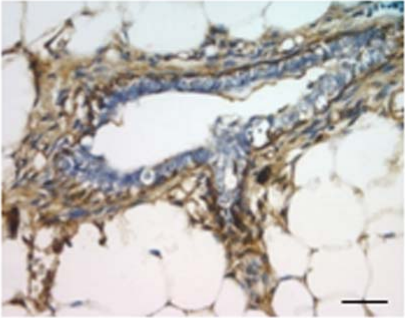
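A mammary duct sits within fatty tissue, its lumen lined by a layer of cells with blue nuclei, some of which bulge or pile into the lumen on one side. Around the duct the surrounding tissue is thickened and crowded with brown-stained, spindle-shaped cells arranged in a broad, irregular cuff rather than a thin layer, and streaks of brown-stained cells extend outward between the large, clear fat cells. Many blue nuclei are scattered through this brown cuff. Overall the stroma around this duct is much denser and more heavily stained than a thin single layer would be.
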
